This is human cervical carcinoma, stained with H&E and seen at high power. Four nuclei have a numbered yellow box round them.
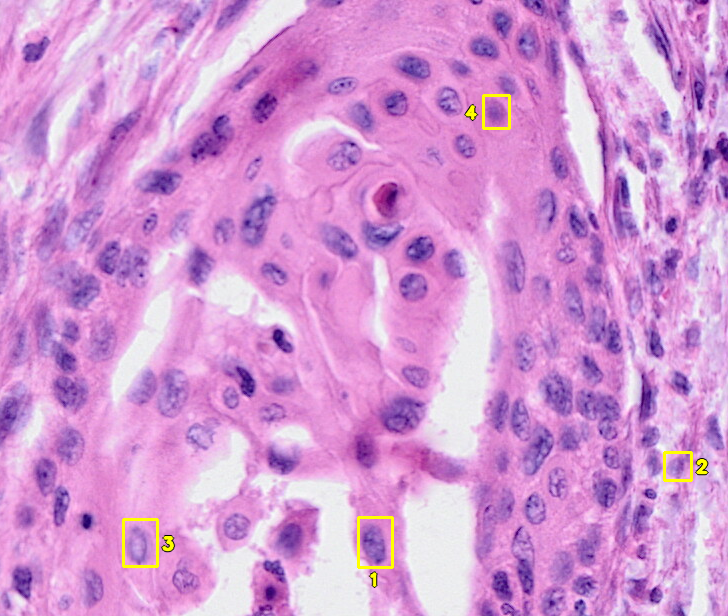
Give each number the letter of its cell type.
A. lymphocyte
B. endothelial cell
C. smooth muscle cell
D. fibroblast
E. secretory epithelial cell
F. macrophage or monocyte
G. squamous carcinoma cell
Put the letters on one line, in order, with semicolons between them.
G; D; G; G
